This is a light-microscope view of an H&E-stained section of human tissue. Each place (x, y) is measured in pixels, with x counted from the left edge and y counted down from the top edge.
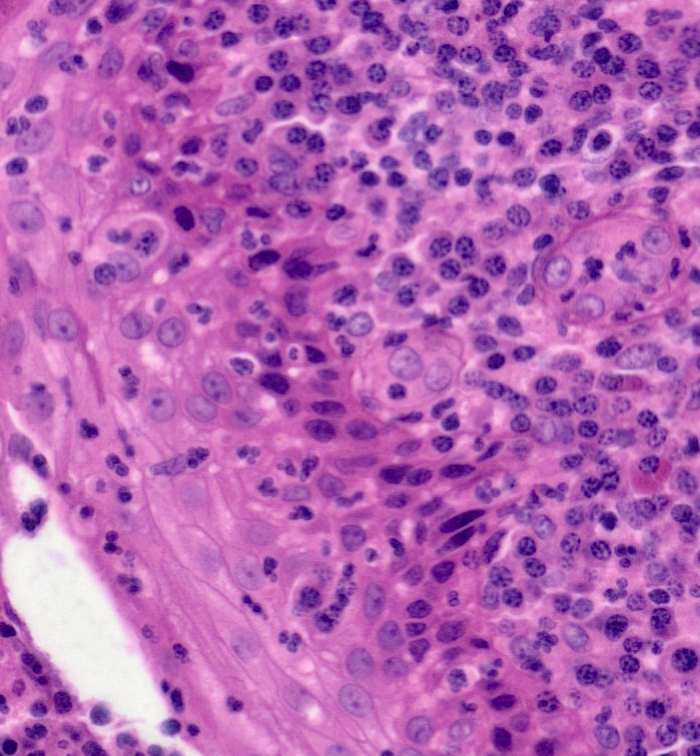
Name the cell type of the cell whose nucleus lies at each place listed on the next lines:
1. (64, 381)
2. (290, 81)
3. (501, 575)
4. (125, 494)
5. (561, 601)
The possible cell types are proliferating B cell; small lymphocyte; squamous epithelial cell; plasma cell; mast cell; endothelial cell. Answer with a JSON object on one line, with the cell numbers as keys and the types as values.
{"1": "squamous epithelial cell", "2": "plasma cell", "3": "plasma cell", "4": "squamous epithelial cell", "5": "plasma cell"}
